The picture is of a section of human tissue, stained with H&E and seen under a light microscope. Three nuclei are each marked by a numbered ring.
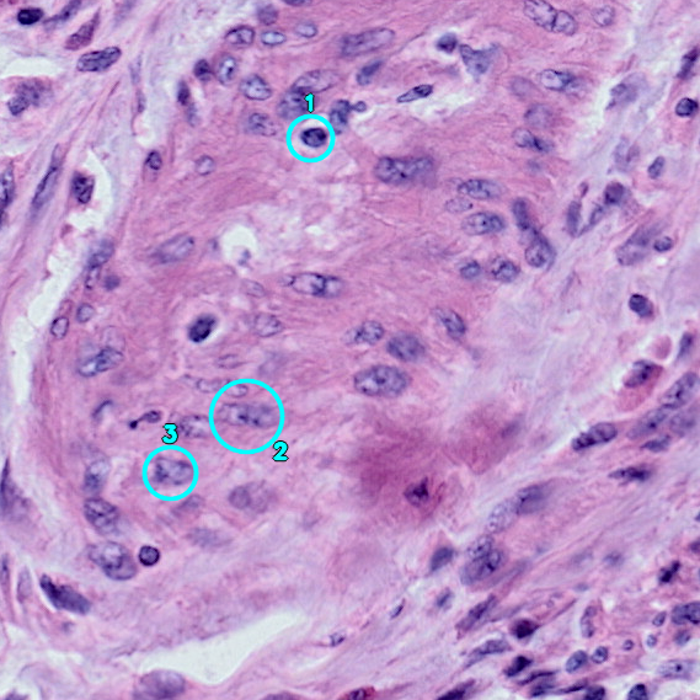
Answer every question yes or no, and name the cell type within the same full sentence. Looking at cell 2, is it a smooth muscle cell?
Yes, the cell that bears the number 2 is a smooth muscle cell.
